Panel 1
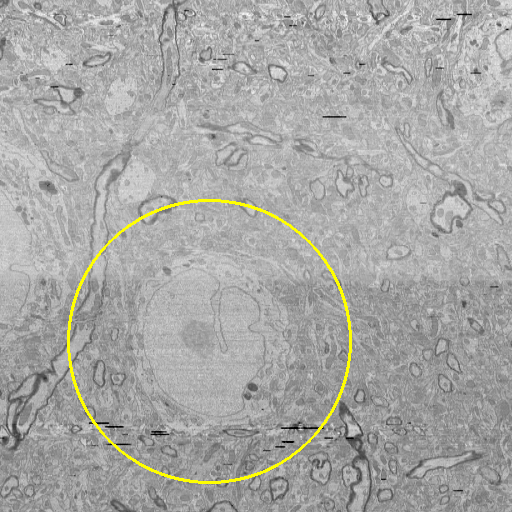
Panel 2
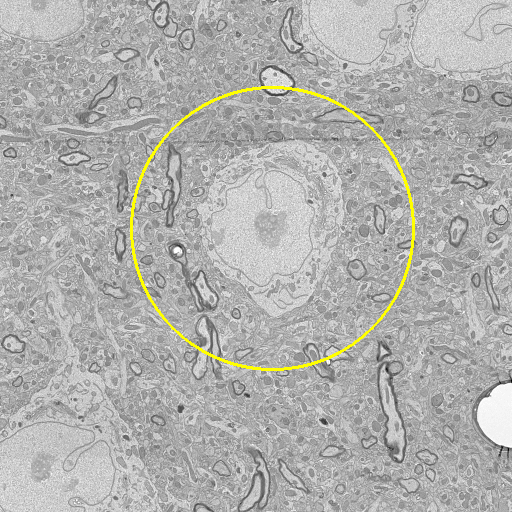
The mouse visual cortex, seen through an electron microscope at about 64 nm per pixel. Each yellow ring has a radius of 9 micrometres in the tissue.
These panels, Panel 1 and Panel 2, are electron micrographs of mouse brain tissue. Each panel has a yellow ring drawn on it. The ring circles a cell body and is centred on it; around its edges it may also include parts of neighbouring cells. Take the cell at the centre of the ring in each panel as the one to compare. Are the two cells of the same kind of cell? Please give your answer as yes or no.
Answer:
yes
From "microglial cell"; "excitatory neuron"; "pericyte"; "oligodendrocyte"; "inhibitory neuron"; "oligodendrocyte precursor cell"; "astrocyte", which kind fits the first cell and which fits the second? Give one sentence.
The cell at the ring centre is an excitatory neuron in both pictures.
